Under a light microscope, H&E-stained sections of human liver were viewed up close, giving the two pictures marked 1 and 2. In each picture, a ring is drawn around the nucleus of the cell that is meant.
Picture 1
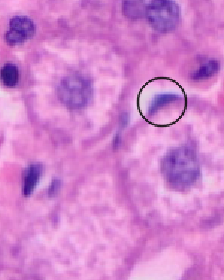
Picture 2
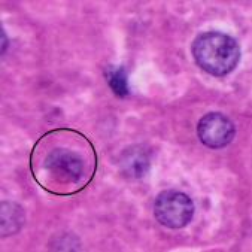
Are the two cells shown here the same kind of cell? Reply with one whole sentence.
Yes, both are endothelial cells.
